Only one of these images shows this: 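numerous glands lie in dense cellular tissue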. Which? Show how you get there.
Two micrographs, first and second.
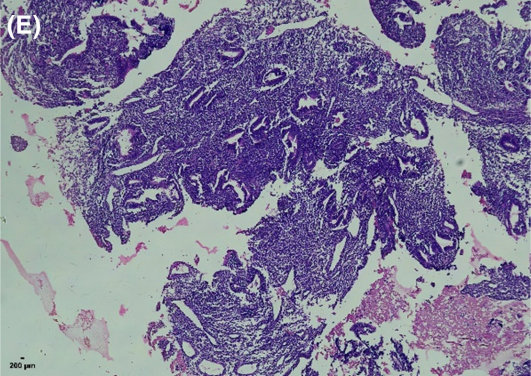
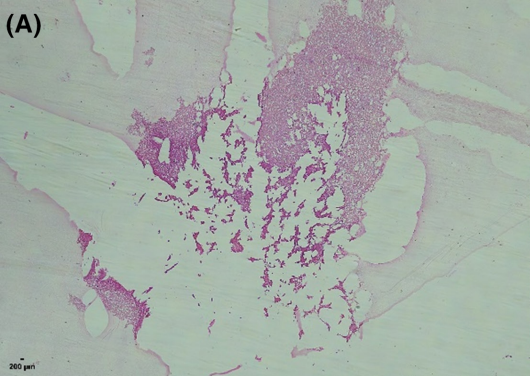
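First image: dense purple tissue fragments packed with many glands. Second image: only pale pink amorphous material and blood, no glands. On this evidence: the first image.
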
